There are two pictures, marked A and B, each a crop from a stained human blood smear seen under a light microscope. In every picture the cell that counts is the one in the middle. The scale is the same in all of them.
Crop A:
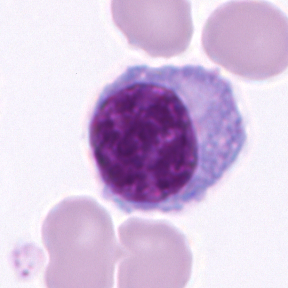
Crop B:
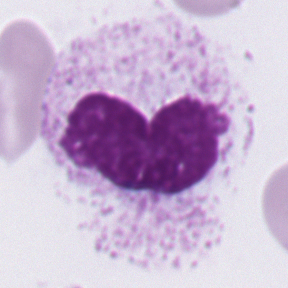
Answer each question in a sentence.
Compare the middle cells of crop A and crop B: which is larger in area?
It is the cell in crop B, about 1.5 times as large in area as the cell in crop A.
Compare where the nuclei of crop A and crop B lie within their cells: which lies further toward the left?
It is the nucleus in crop A that lies further toward the left of its cell.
